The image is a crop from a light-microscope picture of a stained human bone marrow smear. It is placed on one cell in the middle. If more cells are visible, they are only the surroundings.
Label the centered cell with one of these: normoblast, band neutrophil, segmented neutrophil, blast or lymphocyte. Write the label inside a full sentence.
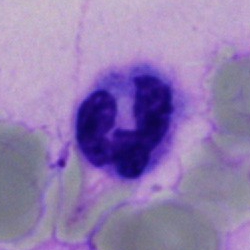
Among the cells in view, the one in the middle is a segmented neutrophil.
